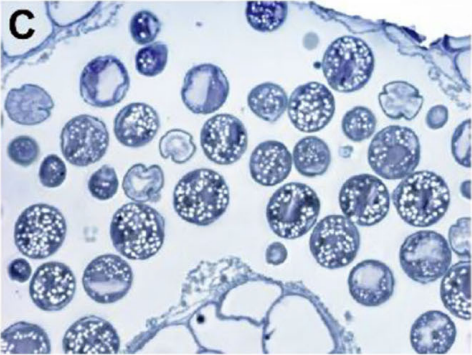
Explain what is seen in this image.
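This shows mature pollen grains lying free in the cavity of an anther, bounded above and below by a wall of large, thin-walled cells. The grains are round with a distinct outer wall, and their blue-stained cytoplasm is crowded with numerous small clear granules. A few grains are smaller or collapsed and folded, with little content. Large central vacuoles are largely absent from the filled grains.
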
